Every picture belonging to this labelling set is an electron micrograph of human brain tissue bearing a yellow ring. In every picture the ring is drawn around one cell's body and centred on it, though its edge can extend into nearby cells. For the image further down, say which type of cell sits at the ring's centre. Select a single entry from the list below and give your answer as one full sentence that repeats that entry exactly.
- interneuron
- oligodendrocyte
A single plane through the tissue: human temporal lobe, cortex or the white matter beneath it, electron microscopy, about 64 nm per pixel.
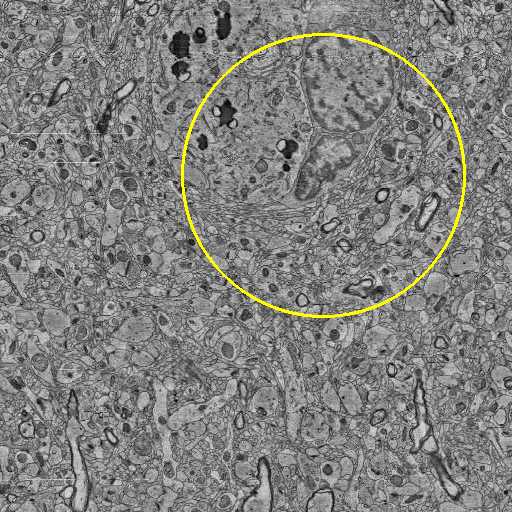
In the picture, an oligodendrocyte is the cell at the centre of the yellow ring.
